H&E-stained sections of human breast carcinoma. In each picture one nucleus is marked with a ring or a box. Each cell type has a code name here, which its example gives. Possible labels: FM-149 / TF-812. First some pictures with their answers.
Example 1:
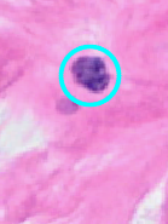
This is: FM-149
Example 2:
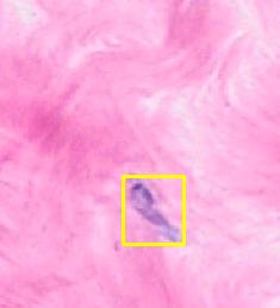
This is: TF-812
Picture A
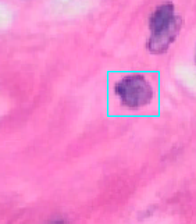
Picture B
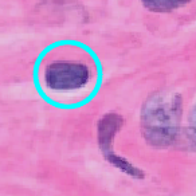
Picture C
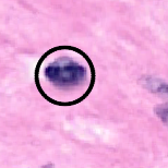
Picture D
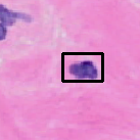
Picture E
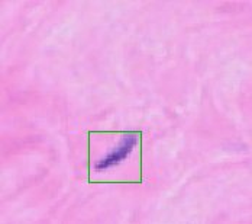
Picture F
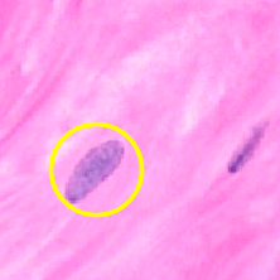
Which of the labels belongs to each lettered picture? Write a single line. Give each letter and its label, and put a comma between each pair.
A FM-149, B FM-149, C FM-149, D FM-149, E TF-812, F TF-812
